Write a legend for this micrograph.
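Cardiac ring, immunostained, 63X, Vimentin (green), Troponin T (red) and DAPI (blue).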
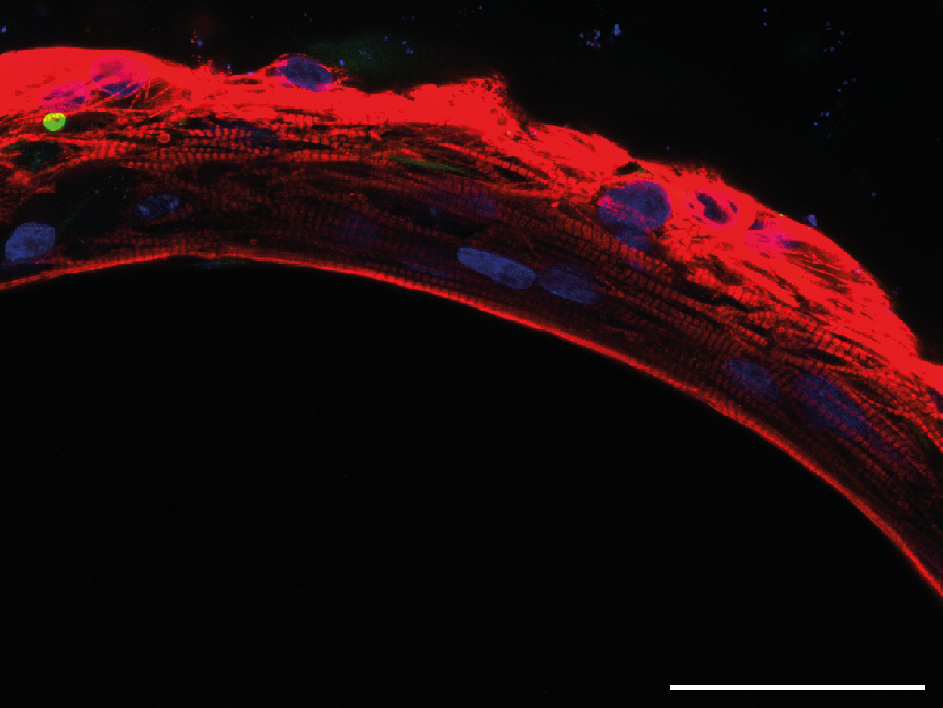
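Curved band of cardiomyocytes forming contractile fibers, stained red. The fibers run parallel along the curve of the band, and many show regular cross-striations. Oval blue nuclei lie among the fibers, elongated in the same direction. The outer surface is uneven with rounded cells bulging from it, while the inner edge is smooth and sharp. Green is almost absent apart from a single small dot.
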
